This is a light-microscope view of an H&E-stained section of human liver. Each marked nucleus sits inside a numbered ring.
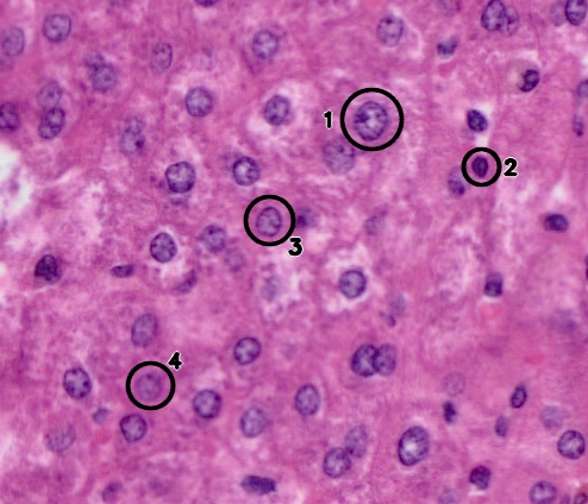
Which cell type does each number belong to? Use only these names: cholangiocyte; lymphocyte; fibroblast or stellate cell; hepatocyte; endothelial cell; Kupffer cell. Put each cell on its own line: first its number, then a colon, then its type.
1: hepatocyte
2: lymphocyte
3: hepatocyte
4: hepatocyte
